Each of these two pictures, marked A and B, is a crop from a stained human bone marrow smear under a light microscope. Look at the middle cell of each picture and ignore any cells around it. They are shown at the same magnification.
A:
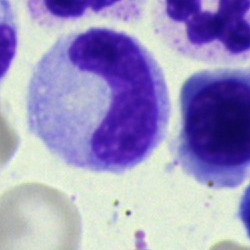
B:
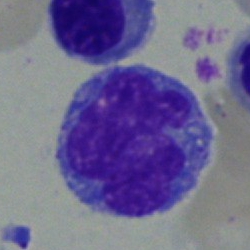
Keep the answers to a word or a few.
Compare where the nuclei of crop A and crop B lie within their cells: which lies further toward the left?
B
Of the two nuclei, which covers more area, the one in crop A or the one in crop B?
B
